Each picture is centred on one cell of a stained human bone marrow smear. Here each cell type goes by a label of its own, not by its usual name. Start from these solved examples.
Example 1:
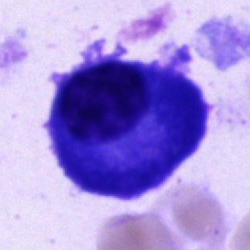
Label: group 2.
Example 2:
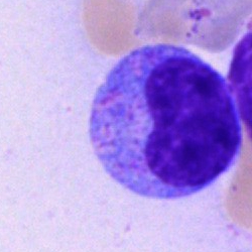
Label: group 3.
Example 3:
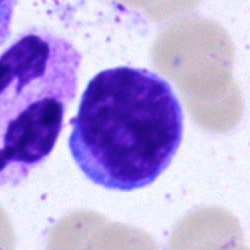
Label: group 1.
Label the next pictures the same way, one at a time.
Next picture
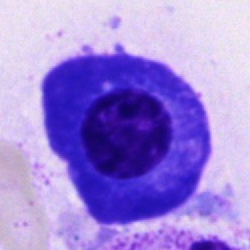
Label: group 2.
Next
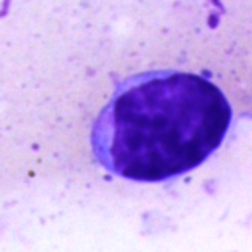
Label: group 1.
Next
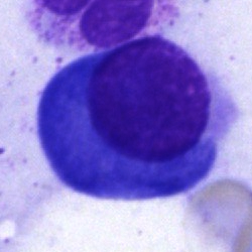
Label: group 2.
